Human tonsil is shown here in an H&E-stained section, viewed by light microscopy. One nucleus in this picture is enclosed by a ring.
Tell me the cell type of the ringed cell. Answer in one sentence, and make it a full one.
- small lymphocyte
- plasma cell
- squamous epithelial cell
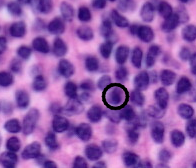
In this tissue sample, the ringed cell is a small lymphocyte.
